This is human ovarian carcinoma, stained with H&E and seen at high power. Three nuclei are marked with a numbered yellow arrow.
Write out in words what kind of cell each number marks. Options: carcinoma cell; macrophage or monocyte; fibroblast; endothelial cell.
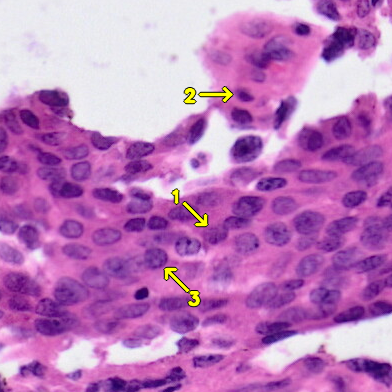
Cells 1 and 3 are carcinoma cells. Cell 2 is an endothelial cell.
